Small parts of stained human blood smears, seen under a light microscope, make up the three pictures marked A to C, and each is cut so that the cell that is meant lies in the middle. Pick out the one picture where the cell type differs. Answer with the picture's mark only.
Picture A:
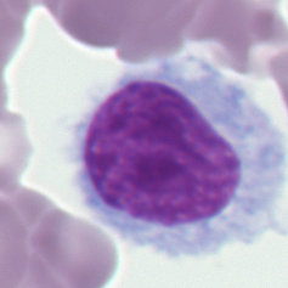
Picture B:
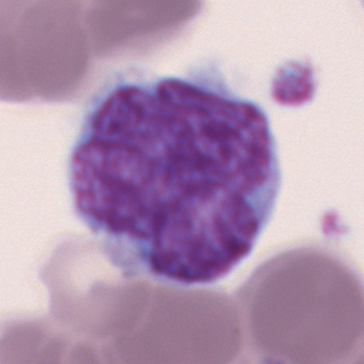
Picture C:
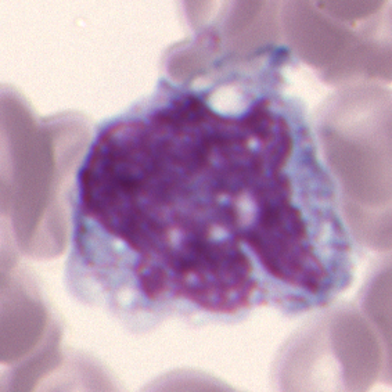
A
